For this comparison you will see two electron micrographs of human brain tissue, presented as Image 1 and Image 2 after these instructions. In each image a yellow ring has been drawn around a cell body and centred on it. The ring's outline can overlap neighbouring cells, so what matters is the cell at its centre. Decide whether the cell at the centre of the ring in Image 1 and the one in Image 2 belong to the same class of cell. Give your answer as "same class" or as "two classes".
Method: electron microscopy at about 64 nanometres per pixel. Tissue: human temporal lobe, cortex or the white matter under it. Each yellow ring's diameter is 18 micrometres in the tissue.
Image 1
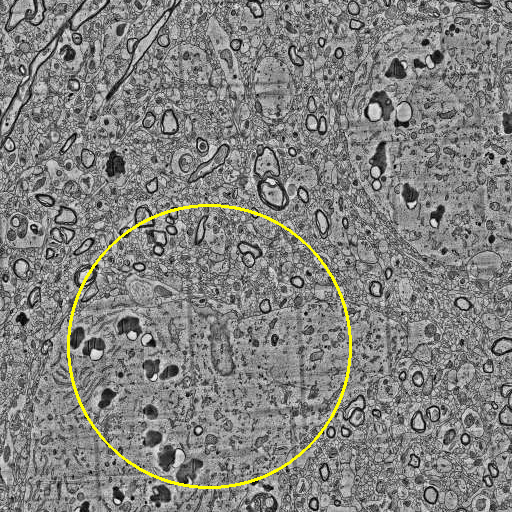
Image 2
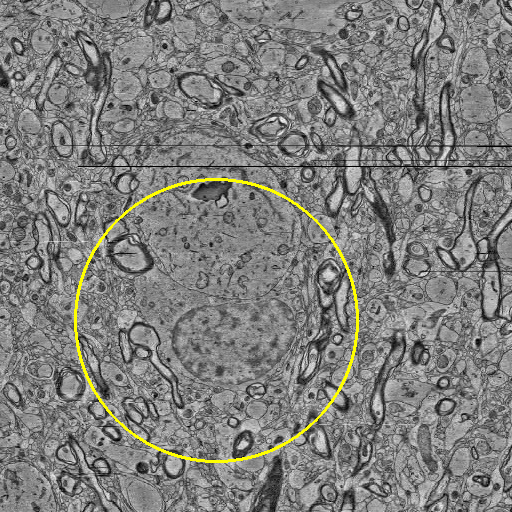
same class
